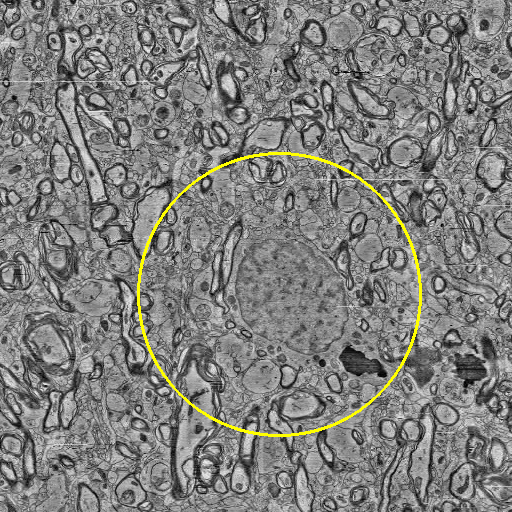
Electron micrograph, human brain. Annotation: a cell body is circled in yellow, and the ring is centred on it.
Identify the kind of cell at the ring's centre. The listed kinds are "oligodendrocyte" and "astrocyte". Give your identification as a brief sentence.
The circled cell body is that of an oligodendrocyte.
